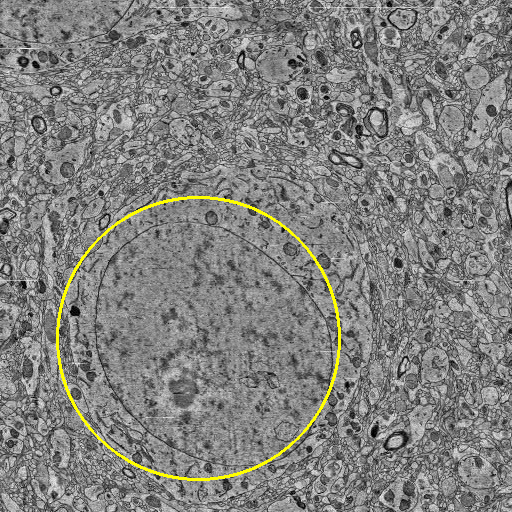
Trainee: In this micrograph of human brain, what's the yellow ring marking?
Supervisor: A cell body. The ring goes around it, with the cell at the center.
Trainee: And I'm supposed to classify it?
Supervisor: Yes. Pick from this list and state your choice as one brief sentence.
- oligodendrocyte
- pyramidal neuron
The cell at the ring's center is a pyramidal neuron.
